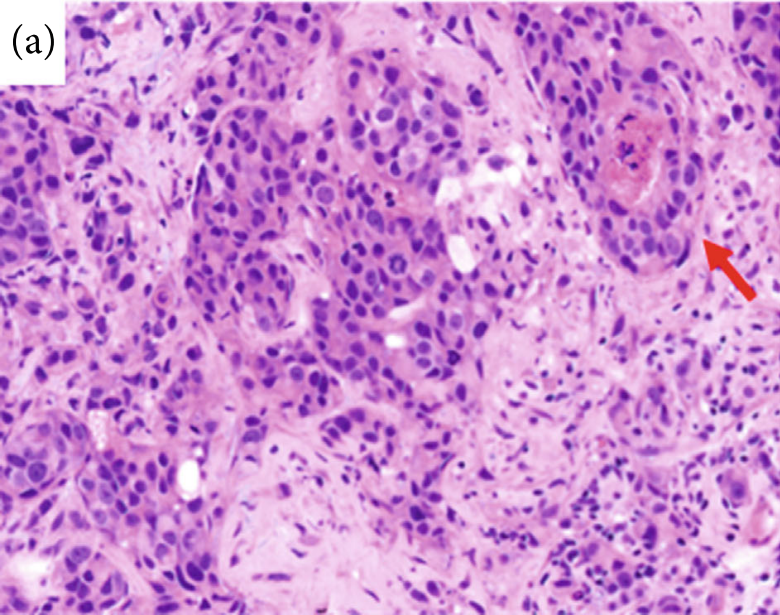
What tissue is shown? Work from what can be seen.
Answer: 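Pale pink fibrous tissue with spindle-shaped cells lies between the tumor nests.
Answer: desmoplastic stroma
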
